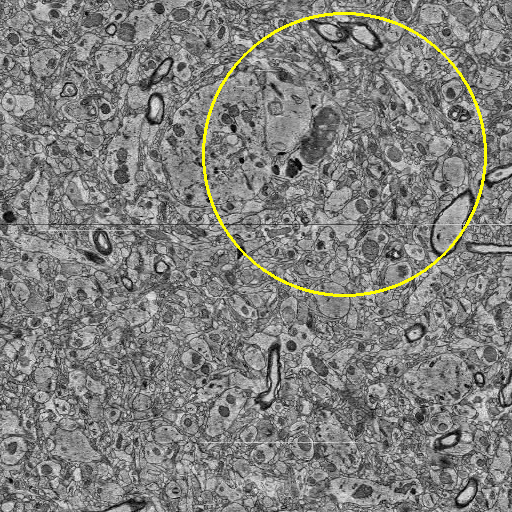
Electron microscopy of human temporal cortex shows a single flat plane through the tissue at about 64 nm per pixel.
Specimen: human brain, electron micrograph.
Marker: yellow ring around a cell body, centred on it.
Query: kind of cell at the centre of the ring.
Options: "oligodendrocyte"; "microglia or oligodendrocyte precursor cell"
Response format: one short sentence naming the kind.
This cell body belongs to a microglial cell or oligodendrocyte precursor cell.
